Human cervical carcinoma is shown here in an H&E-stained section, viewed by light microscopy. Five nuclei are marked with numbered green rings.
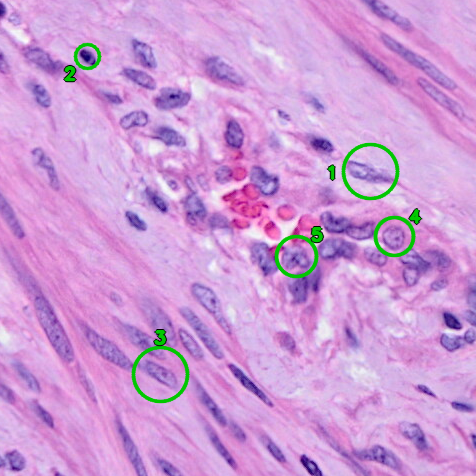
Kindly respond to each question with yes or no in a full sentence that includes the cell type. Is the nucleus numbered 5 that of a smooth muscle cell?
No, calling cell 5 a smooth muscle cell is incorrect; it is an endothelial cell.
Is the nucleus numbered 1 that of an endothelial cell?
No, cell 1 is not an endothelial cell; a fibroblast is the correct identification.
